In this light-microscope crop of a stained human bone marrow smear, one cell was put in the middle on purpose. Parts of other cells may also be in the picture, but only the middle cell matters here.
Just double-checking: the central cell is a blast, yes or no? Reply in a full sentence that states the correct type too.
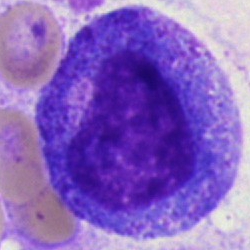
No, the cell in the centre is to be called a promyelocyte instead of a blast.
